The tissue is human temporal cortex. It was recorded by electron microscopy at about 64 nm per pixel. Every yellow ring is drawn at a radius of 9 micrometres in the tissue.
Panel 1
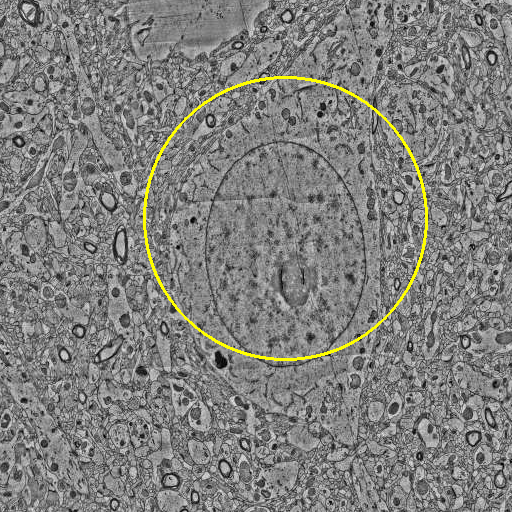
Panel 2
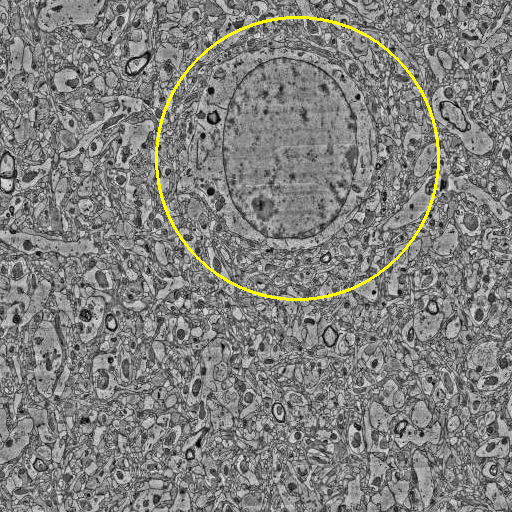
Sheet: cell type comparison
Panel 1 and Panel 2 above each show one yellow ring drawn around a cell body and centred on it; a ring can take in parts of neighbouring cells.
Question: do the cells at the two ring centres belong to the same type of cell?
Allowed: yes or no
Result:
yes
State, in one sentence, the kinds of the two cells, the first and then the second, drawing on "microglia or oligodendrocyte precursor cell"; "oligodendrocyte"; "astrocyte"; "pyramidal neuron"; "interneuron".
The first and the second cell are each a pyramidal neuron.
